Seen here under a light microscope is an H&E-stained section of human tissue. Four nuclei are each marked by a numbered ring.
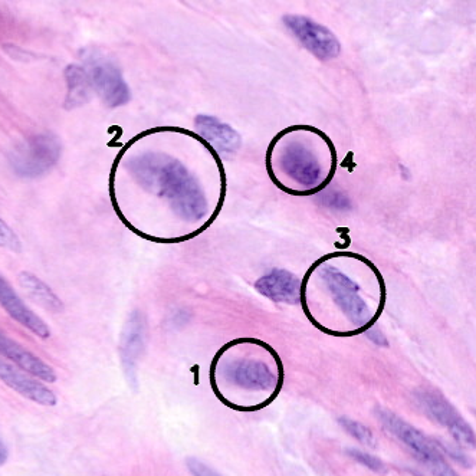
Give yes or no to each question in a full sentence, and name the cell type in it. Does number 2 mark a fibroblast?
Yes, regarding cell number 2, it is a fibroblast.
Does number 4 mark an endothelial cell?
Yes, to put it simply, cell number 4 is an endothelial cell.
